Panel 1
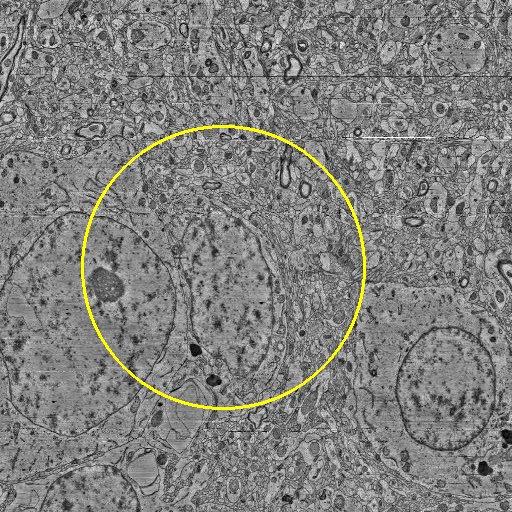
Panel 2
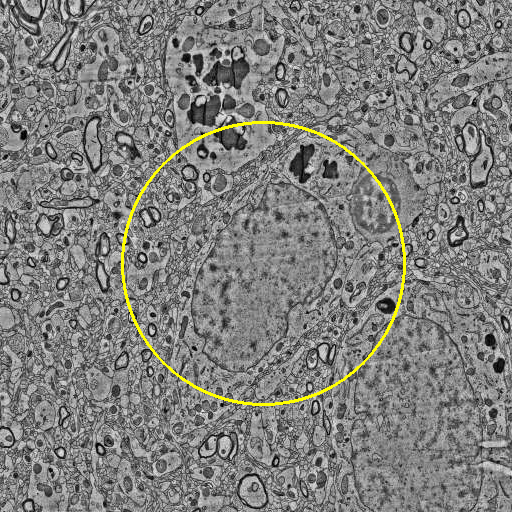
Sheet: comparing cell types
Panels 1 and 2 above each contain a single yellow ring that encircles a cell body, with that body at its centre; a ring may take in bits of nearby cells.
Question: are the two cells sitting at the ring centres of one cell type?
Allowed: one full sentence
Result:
Yes, the ring-centre cells in Panel 1 and Panel 2 are of one type.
